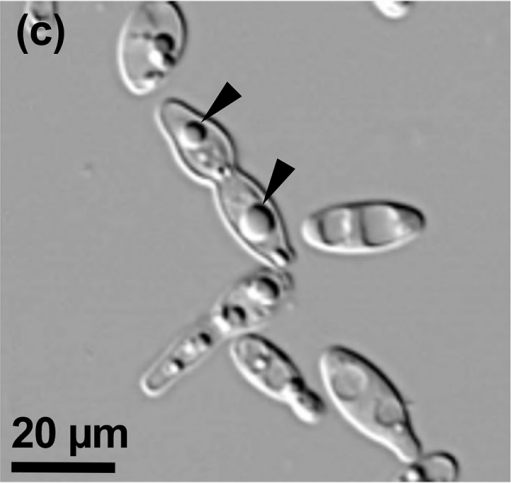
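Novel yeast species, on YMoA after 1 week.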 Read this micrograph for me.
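Yeast cells, oval to elongate, some joined end to end in short chains. Inside several cells lie small round bodies with a thick, sharp outline, marked by arrowheads, which are ascospores. Other cells contain clear vacuoles and rows of small granules. The cell walls are smooth and the cells are larger than the spores they hold.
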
